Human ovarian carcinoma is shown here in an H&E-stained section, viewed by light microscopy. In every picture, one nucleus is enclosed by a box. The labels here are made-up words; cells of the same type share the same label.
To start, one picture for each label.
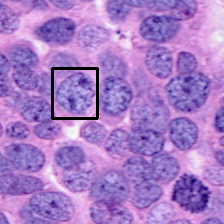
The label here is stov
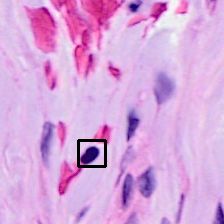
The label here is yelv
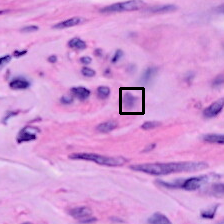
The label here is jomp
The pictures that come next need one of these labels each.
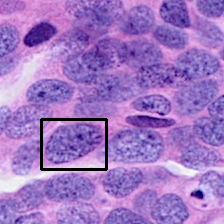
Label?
stov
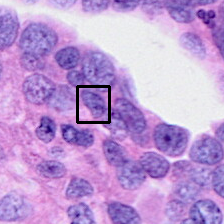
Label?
stov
